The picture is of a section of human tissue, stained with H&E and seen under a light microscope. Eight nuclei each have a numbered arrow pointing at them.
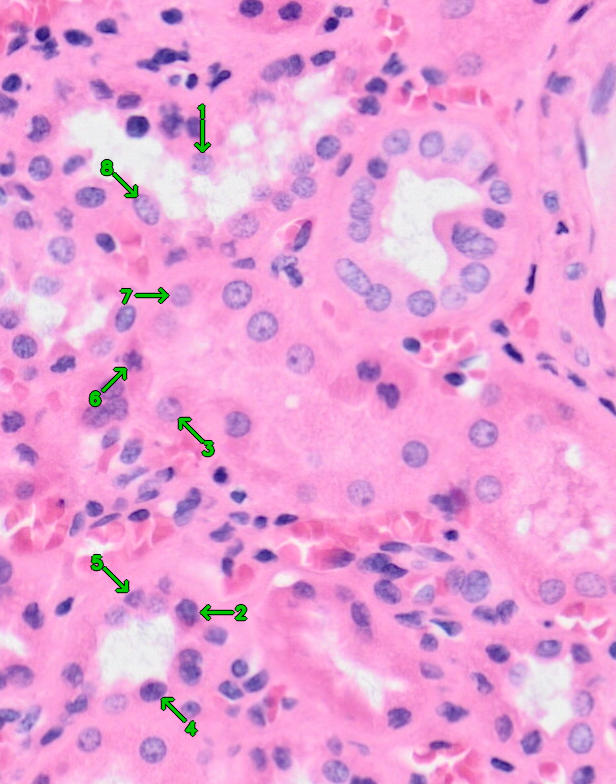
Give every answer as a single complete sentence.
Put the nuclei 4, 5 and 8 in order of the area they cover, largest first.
From largest to smallest, the order is 8, 4, 5.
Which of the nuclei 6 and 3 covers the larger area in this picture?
Nucleus 3 is the larger one, covering about 1.5 times the area of nucleus 6.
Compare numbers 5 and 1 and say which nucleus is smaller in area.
It is nucleus 5; nucleus 1 has about 1.5 times its area.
